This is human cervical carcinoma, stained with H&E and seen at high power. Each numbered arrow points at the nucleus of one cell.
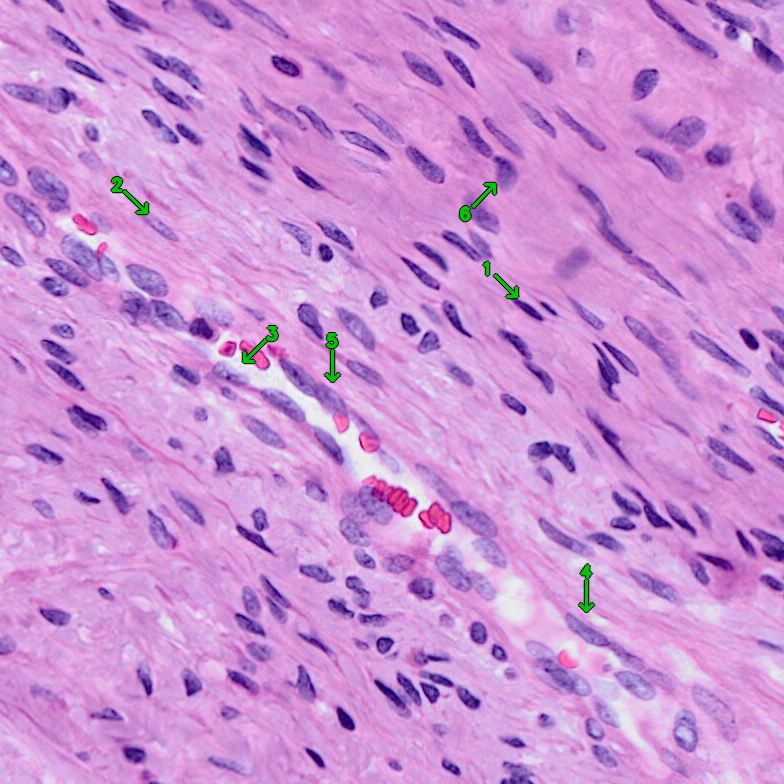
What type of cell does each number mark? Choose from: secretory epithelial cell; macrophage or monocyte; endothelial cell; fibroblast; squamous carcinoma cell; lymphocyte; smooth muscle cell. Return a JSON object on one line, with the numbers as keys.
{"1": "fibroblast", "2": "smooth muscle cell", "3": "endothelial cell", "4": "endothelial cell", "5": "endothelial cell", "6": "fibroblast"}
